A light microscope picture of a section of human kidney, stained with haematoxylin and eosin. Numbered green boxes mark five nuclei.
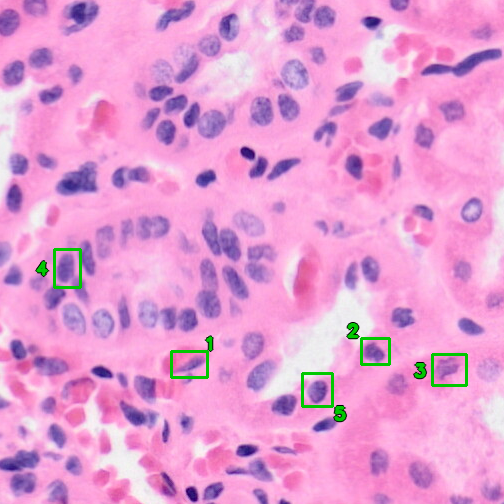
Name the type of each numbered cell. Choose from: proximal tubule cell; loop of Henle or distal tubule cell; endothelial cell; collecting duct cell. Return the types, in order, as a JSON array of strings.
["endothelial cell", "loop of Henle or distal tubule cell", "proximal tubule cell", "collecting duct cell", "loop of Henle or distal tubule cell"]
